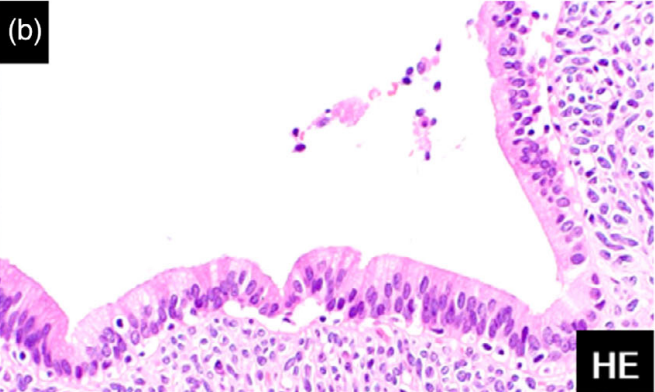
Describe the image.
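A cyst lining of cubic to columnar epithelium overlies a cellular stroma of spindle-shaped cells. Nuclear atypia is slight. The lining folds around a clear lumen in which a few detached cells and pink debris float. Directly beneath the epithelium the stroma is crowded with cells bearing elongated, oval to spindle nuclei, densely packed without obvious mitotic figures.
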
